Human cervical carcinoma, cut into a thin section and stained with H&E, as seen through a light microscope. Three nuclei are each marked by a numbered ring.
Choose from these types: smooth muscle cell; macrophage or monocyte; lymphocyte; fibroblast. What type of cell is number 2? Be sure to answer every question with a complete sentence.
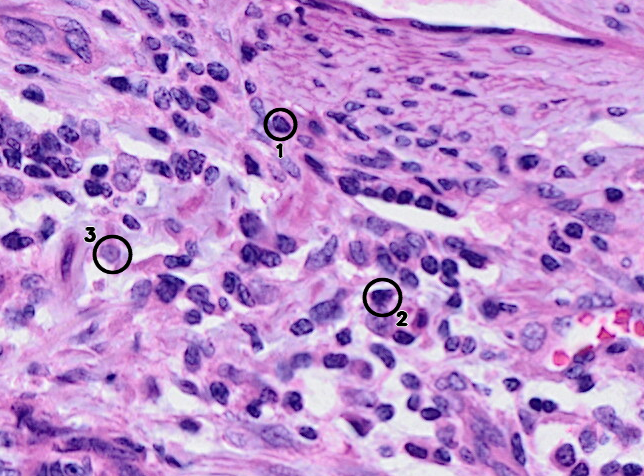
The cell pointed out by number 2 is a lymphocyte.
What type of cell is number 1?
The cell given label 1 is a lymphocyte.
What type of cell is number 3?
The cell assigned the number 3 is a macrophage or monocyte.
